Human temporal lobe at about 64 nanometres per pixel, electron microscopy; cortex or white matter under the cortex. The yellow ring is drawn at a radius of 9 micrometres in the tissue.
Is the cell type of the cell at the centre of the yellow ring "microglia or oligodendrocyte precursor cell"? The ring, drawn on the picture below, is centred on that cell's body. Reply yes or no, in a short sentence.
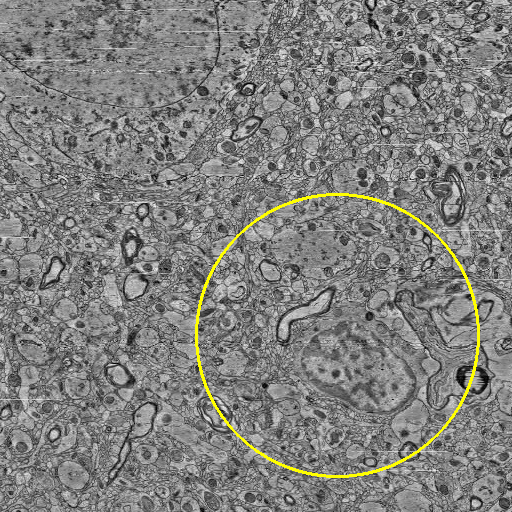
No, its cell type is another.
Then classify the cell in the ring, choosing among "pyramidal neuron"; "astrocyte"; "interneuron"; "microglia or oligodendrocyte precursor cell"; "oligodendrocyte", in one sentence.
The cell marked by the ring is an oligodendrocyte.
